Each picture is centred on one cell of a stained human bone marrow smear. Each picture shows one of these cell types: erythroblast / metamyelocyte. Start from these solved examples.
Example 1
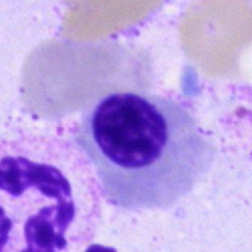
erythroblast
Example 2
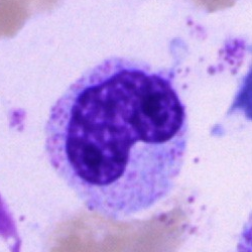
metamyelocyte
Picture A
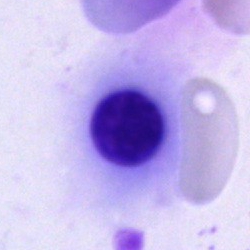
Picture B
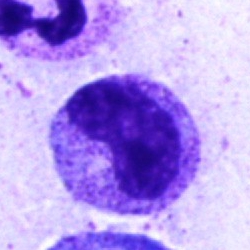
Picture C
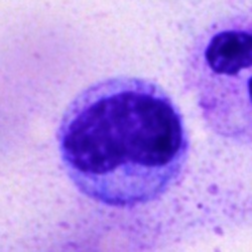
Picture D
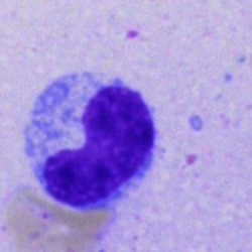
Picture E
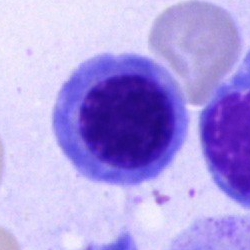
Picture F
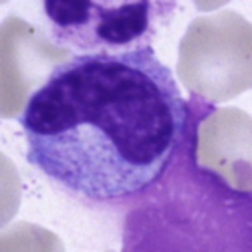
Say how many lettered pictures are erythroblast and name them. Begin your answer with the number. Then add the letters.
2, namely A, E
